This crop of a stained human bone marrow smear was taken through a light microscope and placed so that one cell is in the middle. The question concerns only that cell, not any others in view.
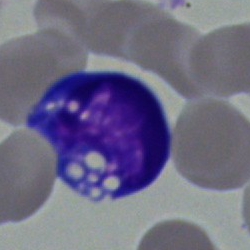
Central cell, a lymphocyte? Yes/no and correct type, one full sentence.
No, the central cell is classed as a blast, not a lymphocyte.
